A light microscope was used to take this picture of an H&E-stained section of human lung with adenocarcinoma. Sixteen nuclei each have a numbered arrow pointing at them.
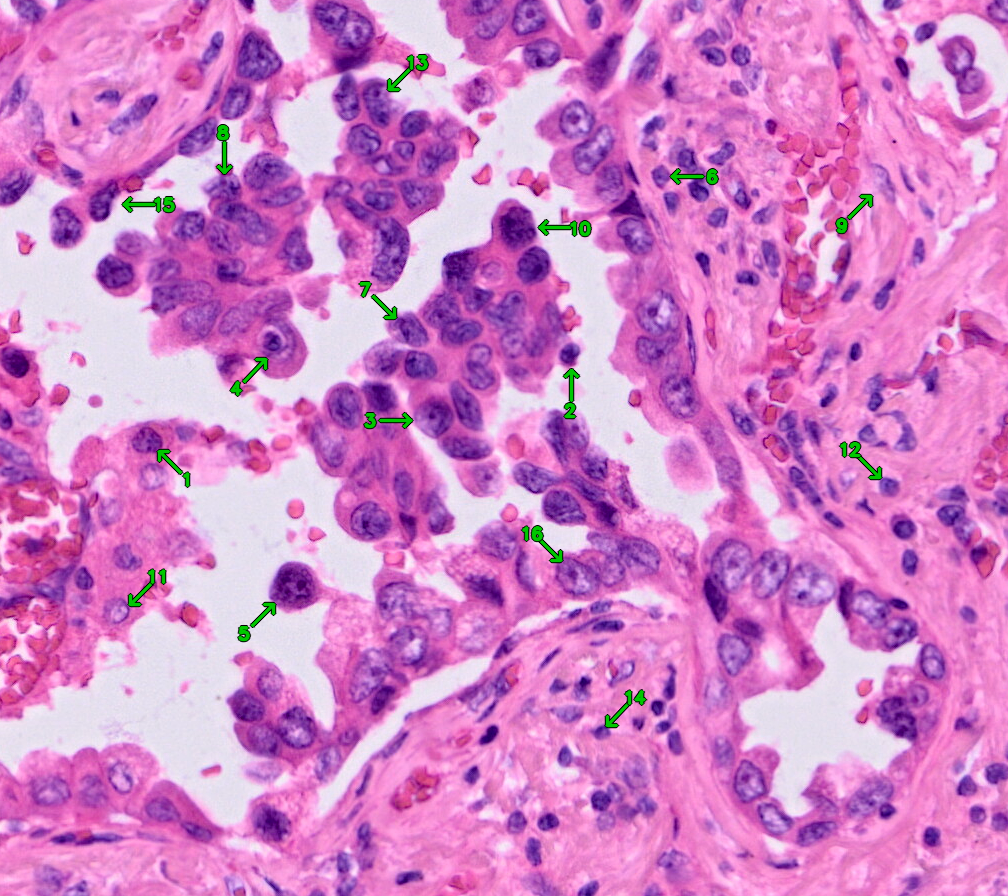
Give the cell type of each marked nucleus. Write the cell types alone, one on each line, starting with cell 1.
macrophage or monocyte
lymphocyte
carcinoma cell
carcinoma cell
carcinoma cell
lymphocyte
carcinoma cell
carcinoma cell
fibroblast
carcinoma cell
macrophage or monocyte
lymphocyte
carcinoma cell
lymphocyte
carcinoma cell
carcinoma cell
